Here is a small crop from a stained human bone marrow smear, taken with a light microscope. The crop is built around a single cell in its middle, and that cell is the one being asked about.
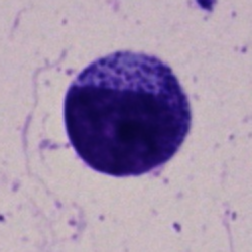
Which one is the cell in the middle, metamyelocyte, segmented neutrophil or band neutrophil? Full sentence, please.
The middle of this crop is occupied by a metamyelocyte.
